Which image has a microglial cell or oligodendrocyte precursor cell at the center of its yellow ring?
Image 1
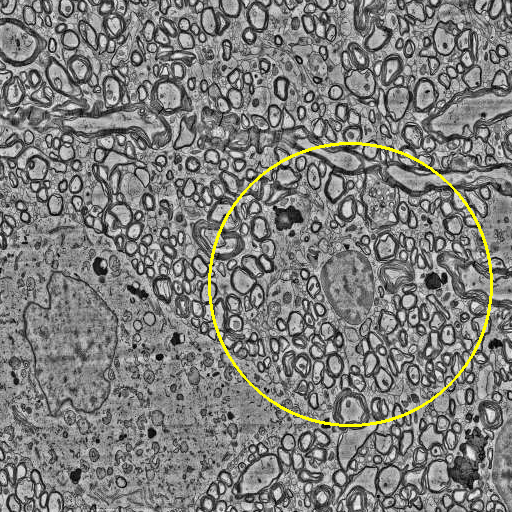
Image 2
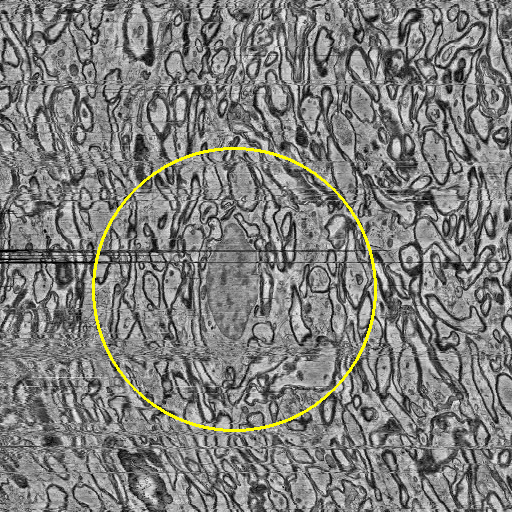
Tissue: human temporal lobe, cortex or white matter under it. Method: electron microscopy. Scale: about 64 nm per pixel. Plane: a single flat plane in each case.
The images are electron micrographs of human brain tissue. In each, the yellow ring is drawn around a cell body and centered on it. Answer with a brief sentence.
It is at the center of the ring in Image 1.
